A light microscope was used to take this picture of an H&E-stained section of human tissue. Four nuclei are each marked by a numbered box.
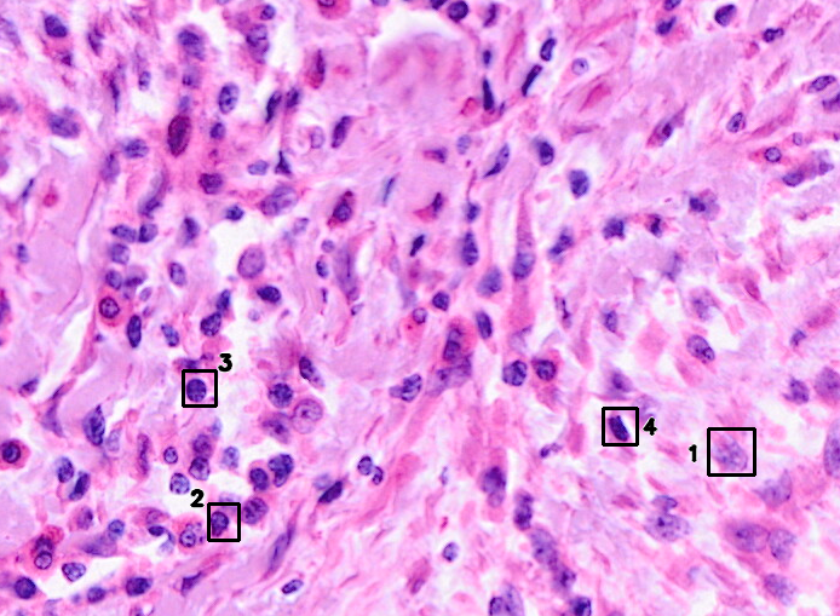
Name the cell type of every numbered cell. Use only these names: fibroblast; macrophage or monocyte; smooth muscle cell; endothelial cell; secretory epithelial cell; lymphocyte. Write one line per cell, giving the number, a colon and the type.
1: fibroblast
2: lymphocyte
3: lymphocyte
4: lymphocyte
